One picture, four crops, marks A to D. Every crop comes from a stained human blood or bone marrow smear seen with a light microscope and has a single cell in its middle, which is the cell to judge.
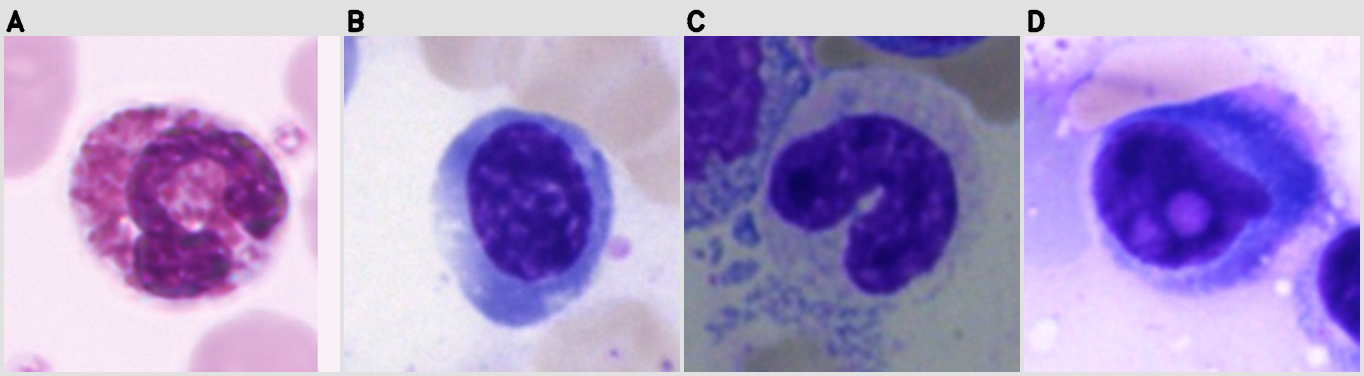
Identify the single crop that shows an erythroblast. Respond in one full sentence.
The crop in which an erythroblast is shown is crop B.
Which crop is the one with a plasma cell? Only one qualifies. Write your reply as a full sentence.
Crop D is the one in this set that shows a plasma cell.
